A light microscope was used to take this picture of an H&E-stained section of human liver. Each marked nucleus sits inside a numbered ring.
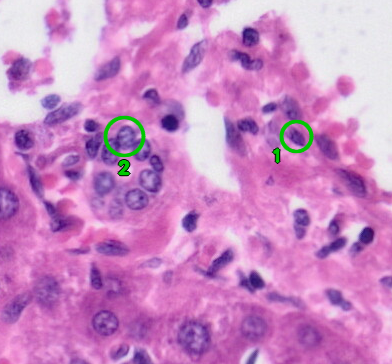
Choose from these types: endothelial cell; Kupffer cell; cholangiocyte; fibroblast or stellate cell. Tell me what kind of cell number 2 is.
cholangiocyte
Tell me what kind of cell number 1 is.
fibroblast or stellate cell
